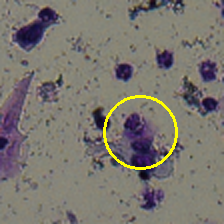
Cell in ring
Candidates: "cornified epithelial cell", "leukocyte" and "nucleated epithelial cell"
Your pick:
nucleated epithelial cell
